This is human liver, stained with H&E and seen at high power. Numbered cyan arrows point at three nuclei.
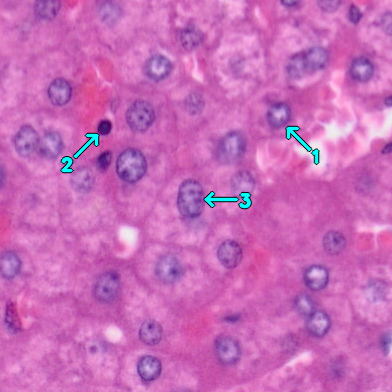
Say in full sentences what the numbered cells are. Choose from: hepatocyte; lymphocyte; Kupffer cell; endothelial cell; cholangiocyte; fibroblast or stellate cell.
Cells 1 and 3 are hepatocytes. Cell 2 is a lymphocyte.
